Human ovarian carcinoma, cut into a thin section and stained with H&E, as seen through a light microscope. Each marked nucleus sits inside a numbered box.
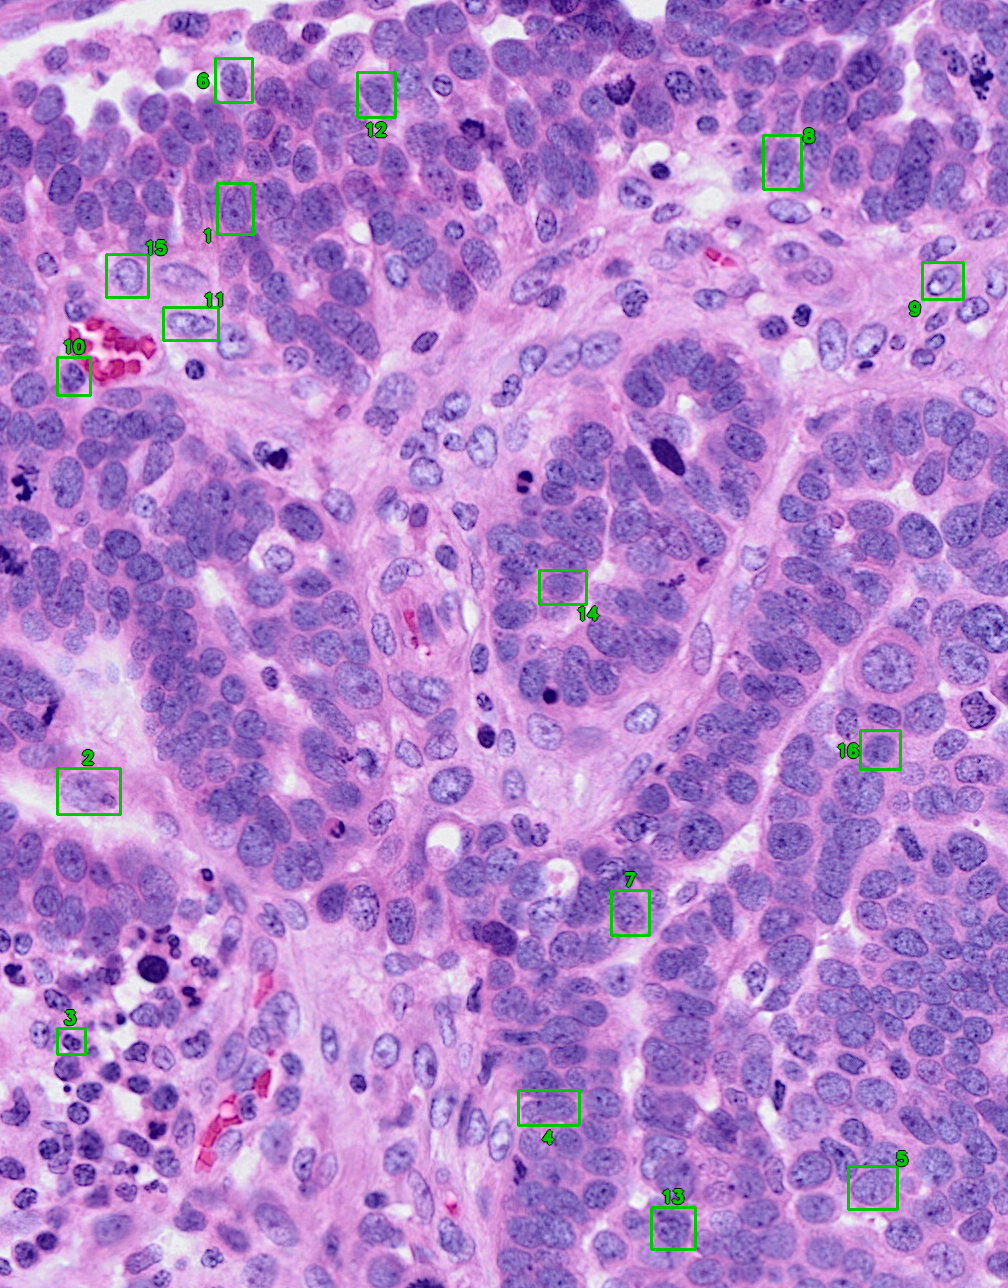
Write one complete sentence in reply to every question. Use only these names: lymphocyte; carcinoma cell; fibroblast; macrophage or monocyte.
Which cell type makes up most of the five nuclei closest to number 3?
Around number 3, most of the five nearest nuclei are those of macrophages or monocytes.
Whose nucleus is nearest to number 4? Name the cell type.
The nearest nucleus to number 4 belongs to a carcinoma cell.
